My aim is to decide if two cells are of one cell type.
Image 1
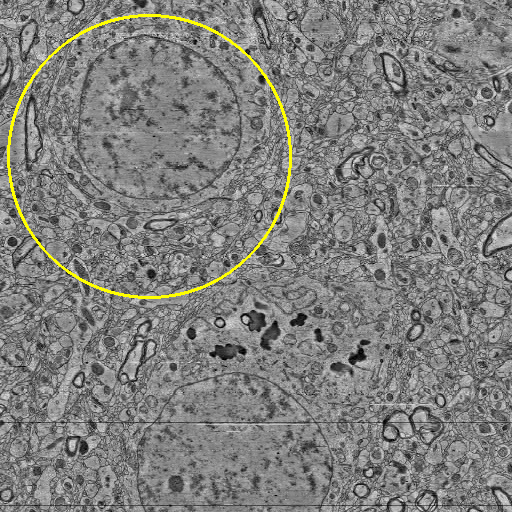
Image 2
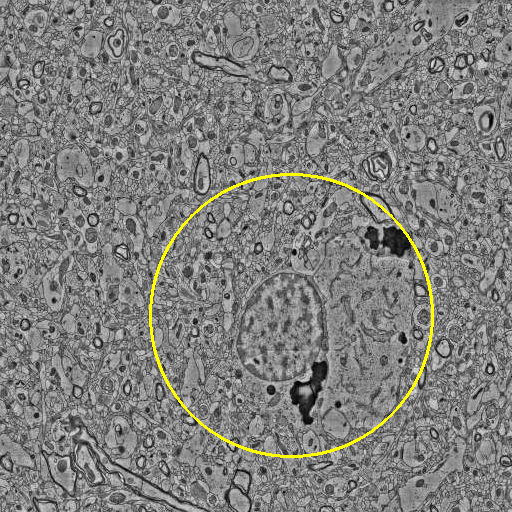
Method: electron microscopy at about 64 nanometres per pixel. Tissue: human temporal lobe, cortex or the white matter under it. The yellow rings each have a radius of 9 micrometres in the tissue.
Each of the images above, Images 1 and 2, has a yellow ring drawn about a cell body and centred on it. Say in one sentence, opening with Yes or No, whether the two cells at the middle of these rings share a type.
No, in Images 1 and 2 the cells at the middle of the rings fall into two types.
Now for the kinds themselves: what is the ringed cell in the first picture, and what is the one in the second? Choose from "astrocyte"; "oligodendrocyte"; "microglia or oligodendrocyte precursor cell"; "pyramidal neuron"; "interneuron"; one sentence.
Here the first cell is a pyramidal neuron and the second cell is an oligodendrocyte.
